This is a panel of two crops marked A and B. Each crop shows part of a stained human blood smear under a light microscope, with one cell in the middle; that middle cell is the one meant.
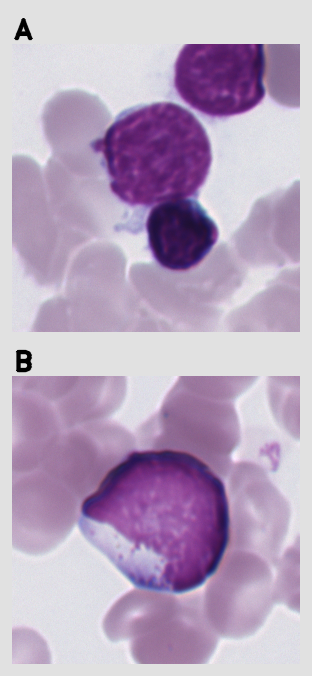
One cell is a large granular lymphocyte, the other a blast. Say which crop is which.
A: blast
B: large granular lymphocyte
